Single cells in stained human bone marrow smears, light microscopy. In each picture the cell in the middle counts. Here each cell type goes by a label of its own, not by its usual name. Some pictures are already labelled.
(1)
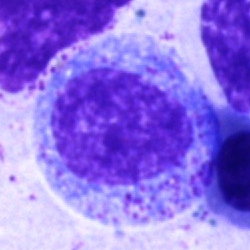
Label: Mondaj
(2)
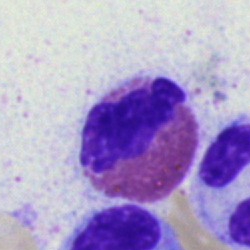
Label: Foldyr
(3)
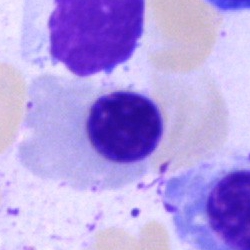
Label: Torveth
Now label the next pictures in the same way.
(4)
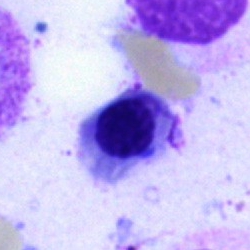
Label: Torveth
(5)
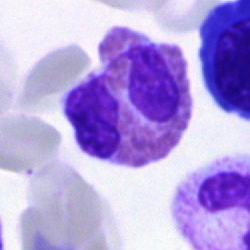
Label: Foldyr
